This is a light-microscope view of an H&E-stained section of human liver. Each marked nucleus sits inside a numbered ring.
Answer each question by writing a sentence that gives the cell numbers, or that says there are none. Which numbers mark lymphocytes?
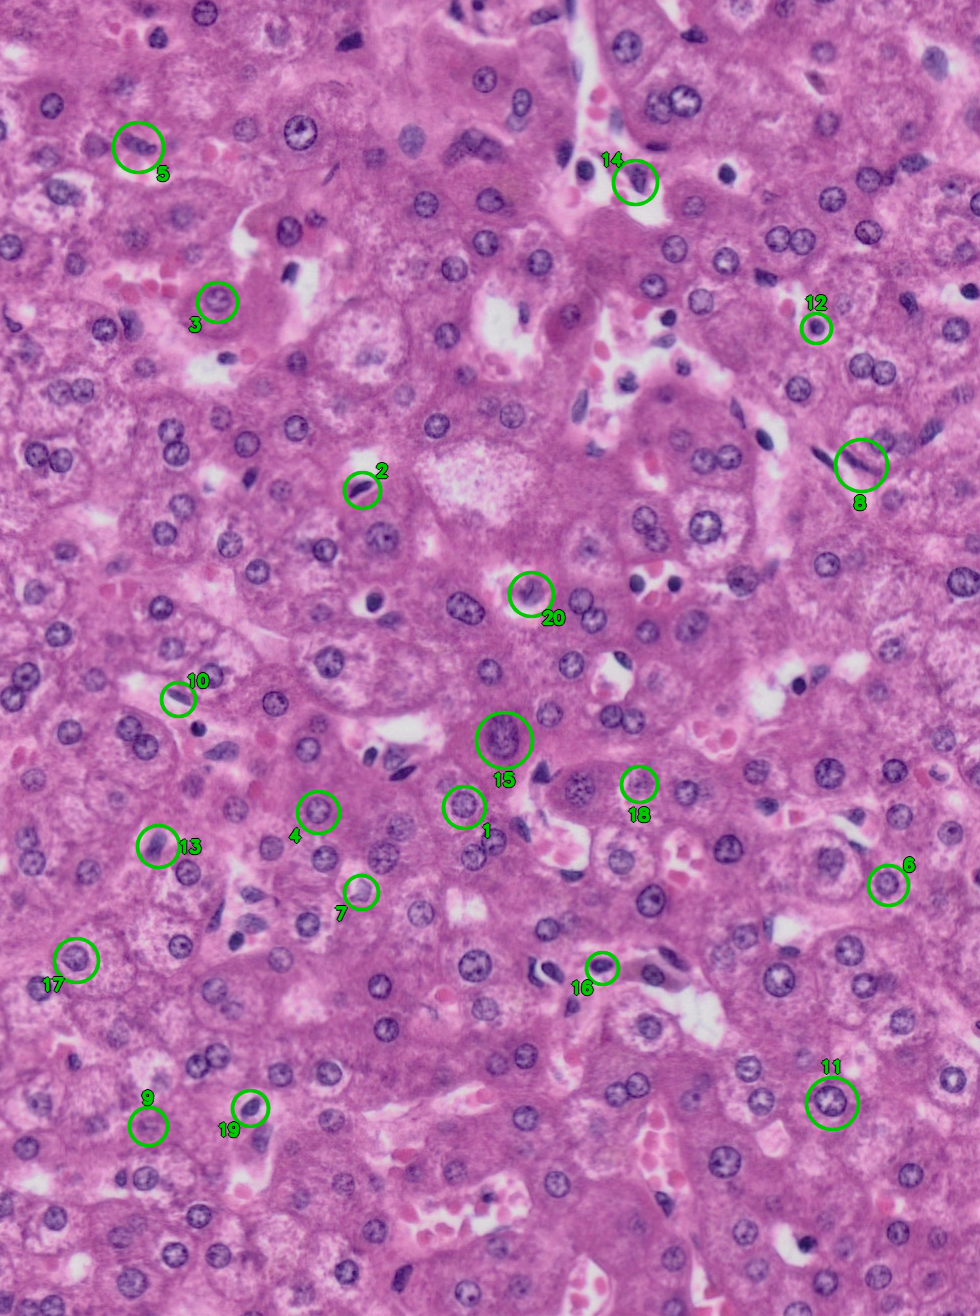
The numbers 12, 16 and 19 in this section indicate lymphocytes.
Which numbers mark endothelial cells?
Cells numbered 2, 7 and 10 belong to the group of endothelial cells.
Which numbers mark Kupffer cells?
The cells numbered 5, 8, 13, 14 and 20 are typed as Kupffer cells.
